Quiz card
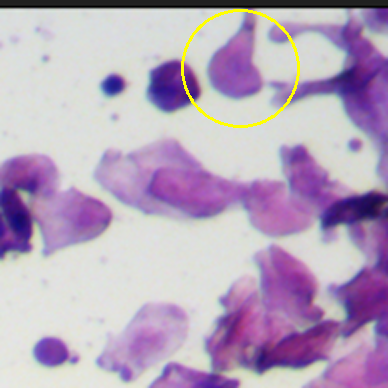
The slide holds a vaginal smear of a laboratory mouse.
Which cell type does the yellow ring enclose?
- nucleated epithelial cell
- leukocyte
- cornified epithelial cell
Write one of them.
cornified epithelial cell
